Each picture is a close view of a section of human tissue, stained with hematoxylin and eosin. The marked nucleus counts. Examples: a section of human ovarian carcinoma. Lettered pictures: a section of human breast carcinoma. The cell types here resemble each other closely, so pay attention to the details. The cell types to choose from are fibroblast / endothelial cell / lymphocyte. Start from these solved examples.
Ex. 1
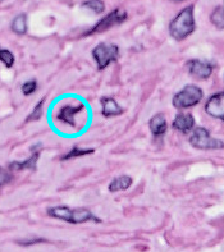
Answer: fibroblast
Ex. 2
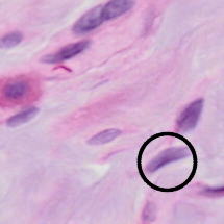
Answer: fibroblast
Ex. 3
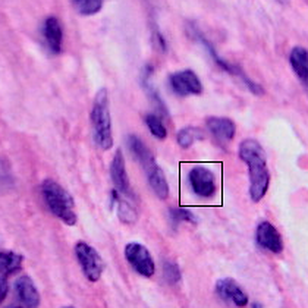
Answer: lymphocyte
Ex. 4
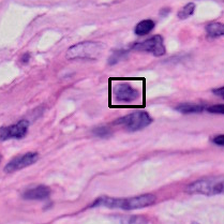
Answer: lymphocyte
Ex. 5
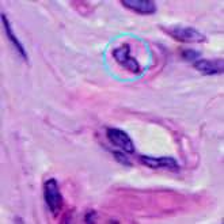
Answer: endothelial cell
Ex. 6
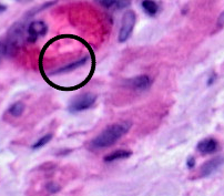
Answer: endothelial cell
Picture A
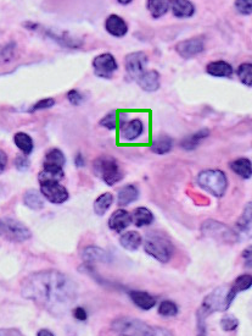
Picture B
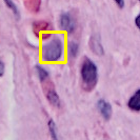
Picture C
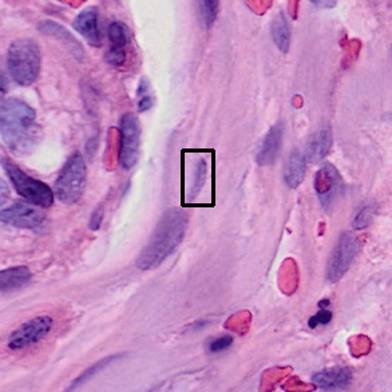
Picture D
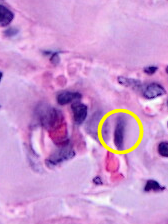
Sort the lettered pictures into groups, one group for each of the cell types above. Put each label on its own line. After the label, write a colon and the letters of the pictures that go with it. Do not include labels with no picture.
fibroblast: C
endothelial cell: B, D
lymphocyte: A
